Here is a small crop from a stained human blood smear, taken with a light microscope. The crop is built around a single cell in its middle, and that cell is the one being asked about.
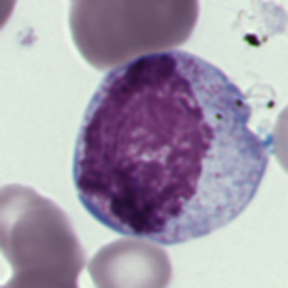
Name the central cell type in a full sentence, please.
The crop centres on a single cell, and that cell is a myelocyte.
